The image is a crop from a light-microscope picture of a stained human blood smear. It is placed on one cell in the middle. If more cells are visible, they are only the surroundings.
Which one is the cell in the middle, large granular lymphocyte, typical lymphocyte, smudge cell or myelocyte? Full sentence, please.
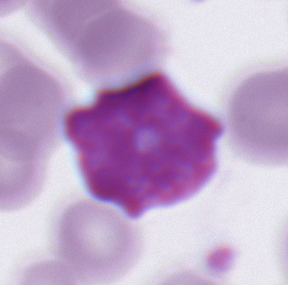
The cell under consideration, at the middle of the crop, is a smudge cell.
